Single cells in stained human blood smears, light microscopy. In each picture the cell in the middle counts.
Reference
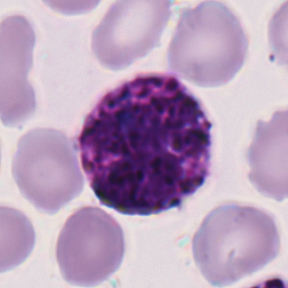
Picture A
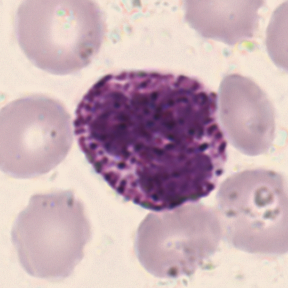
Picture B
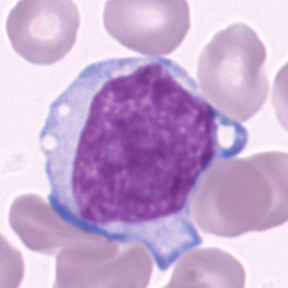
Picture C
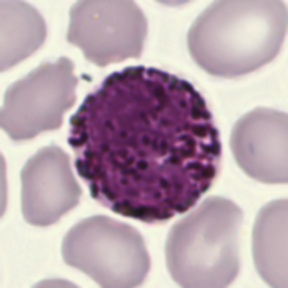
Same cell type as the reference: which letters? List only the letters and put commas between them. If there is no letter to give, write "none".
A, C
